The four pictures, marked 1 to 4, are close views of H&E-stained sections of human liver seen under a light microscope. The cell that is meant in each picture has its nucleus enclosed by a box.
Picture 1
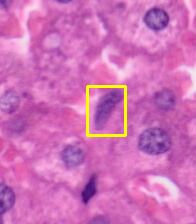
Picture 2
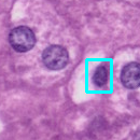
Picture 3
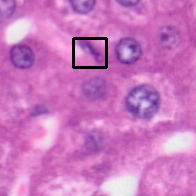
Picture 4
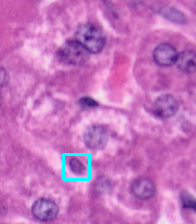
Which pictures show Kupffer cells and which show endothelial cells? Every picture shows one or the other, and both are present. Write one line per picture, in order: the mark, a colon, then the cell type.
1: Kupffer cell
2: Kupffer cell
3: endothelial cell
4: Kupffer cell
